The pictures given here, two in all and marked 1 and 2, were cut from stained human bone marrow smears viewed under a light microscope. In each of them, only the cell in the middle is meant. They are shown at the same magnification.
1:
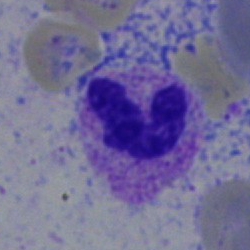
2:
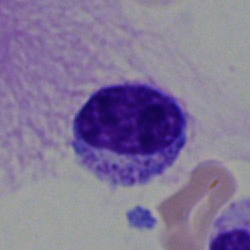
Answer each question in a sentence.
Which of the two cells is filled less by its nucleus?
The nucleus fills less of the cell in picture 1 than in picture 2.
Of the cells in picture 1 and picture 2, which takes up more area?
The cell in picture 1 is larger, with about 1.5 times the area of the one in picture 2.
